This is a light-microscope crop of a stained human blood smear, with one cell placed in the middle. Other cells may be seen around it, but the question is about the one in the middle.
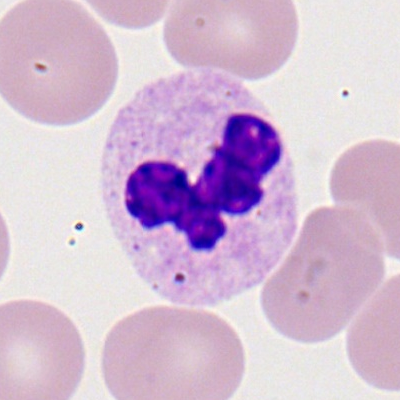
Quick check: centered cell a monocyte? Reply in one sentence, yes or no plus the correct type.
No, in the centre of the crop lies a segmented neutrophil, not a monocyte.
